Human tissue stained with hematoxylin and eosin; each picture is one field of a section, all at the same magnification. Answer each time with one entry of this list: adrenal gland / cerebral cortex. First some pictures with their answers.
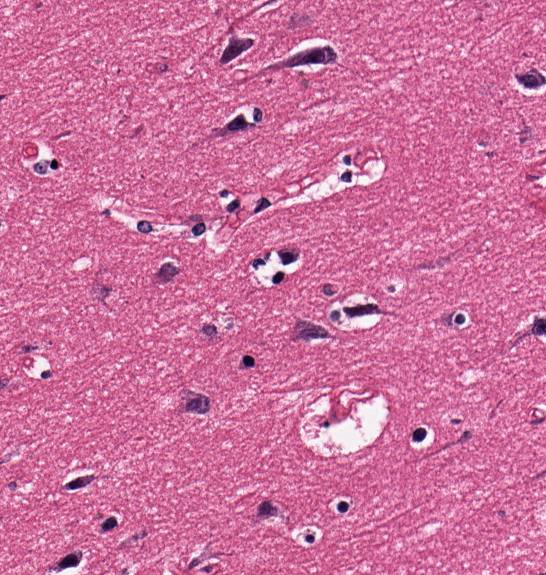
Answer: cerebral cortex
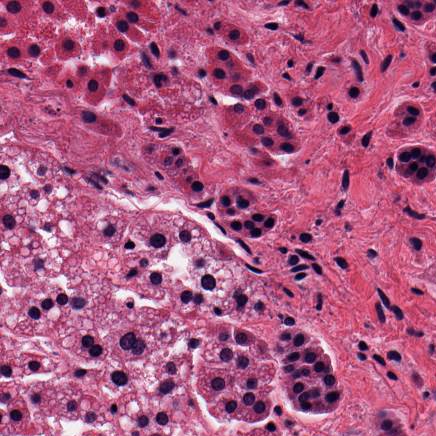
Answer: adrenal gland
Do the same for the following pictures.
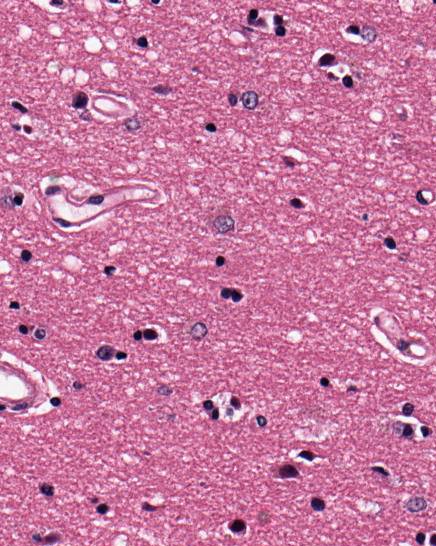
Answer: cerebral cortex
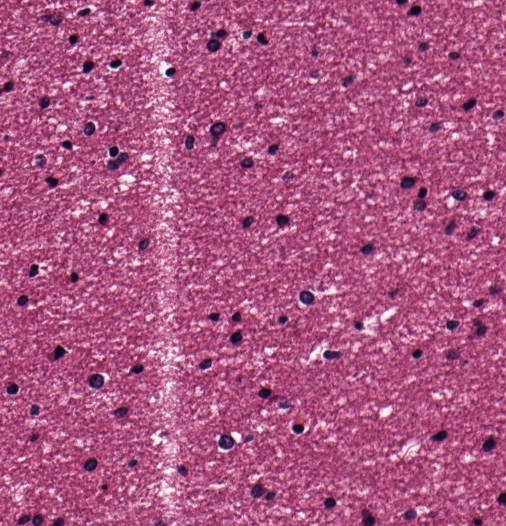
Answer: cerebral cortex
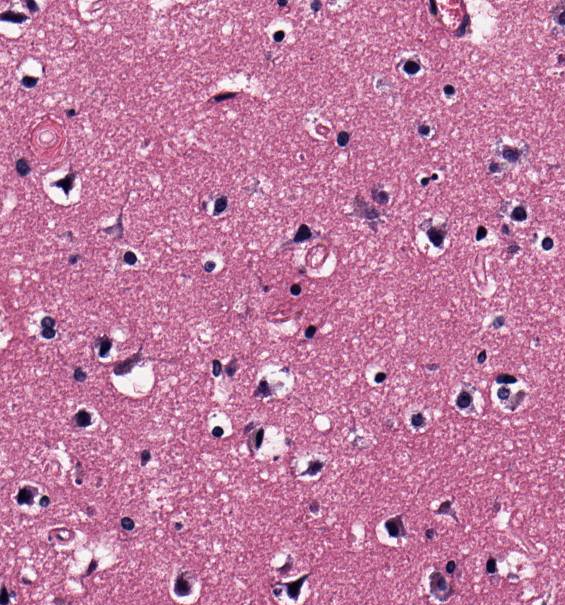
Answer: cerebral cortex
